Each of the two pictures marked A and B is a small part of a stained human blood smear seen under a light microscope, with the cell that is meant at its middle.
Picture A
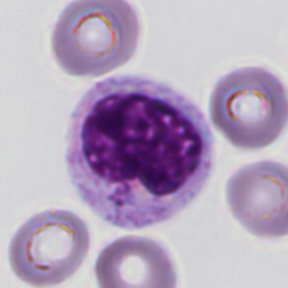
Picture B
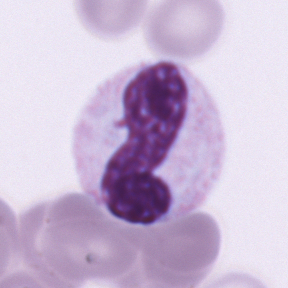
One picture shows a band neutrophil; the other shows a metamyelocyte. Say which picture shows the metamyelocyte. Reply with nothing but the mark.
A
